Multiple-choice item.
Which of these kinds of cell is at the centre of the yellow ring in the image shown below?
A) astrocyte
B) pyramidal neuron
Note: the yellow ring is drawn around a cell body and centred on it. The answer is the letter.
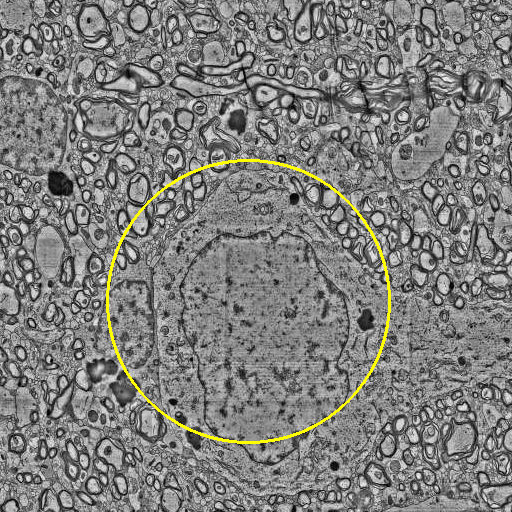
B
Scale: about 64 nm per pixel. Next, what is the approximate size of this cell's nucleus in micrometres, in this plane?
Approximately 16 by 11 micrometers in this plane.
